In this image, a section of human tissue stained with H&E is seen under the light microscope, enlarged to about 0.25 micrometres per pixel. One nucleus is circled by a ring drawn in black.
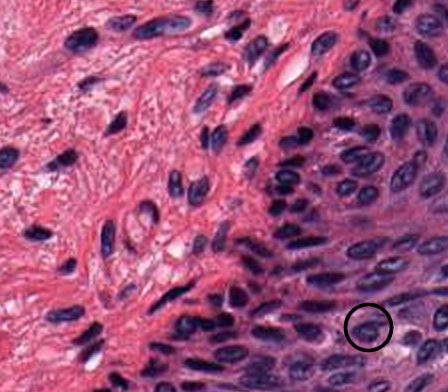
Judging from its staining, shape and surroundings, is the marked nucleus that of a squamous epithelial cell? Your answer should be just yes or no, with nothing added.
yes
